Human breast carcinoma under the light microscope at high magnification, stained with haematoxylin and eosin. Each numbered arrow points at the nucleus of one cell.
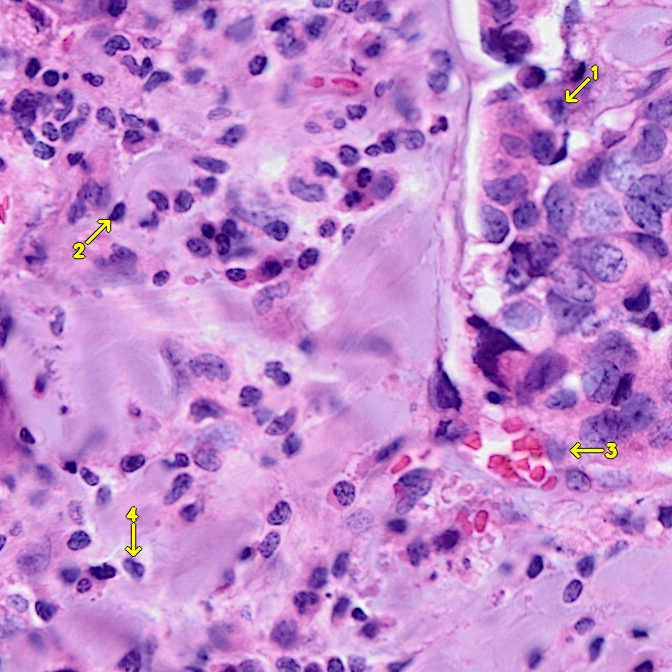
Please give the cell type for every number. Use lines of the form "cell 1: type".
cell 1: carcinoma cell
cell 2: lymphocyte
cell 3: endothelial cell
cell 4: lymphocyte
